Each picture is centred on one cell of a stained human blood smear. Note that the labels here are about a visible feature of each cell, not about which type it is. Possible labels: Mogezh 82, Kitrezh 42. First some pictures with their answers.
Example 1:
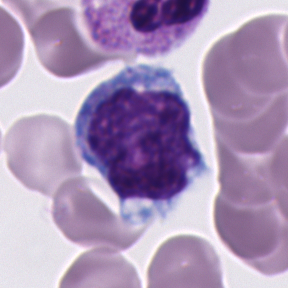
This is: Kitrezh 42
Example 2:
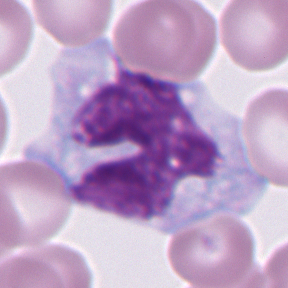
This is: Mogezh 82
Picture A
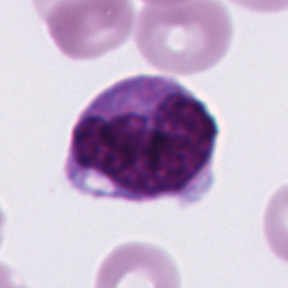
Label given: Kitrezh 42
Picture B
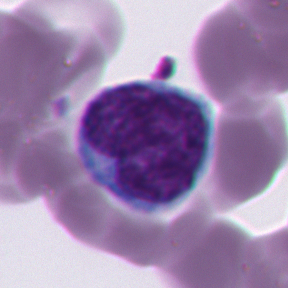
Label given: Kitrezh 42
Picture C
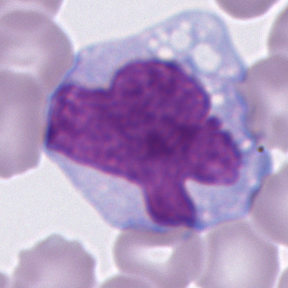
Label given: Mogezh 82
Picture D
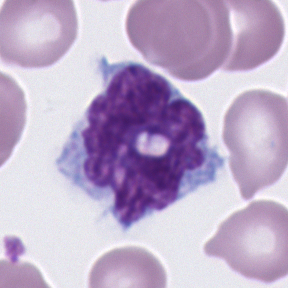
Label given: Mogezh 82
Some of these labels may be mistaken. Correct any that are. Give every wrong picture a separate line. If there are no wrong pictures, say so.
Wrong: D (Mogezh 82); correct: Kitrezh 42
